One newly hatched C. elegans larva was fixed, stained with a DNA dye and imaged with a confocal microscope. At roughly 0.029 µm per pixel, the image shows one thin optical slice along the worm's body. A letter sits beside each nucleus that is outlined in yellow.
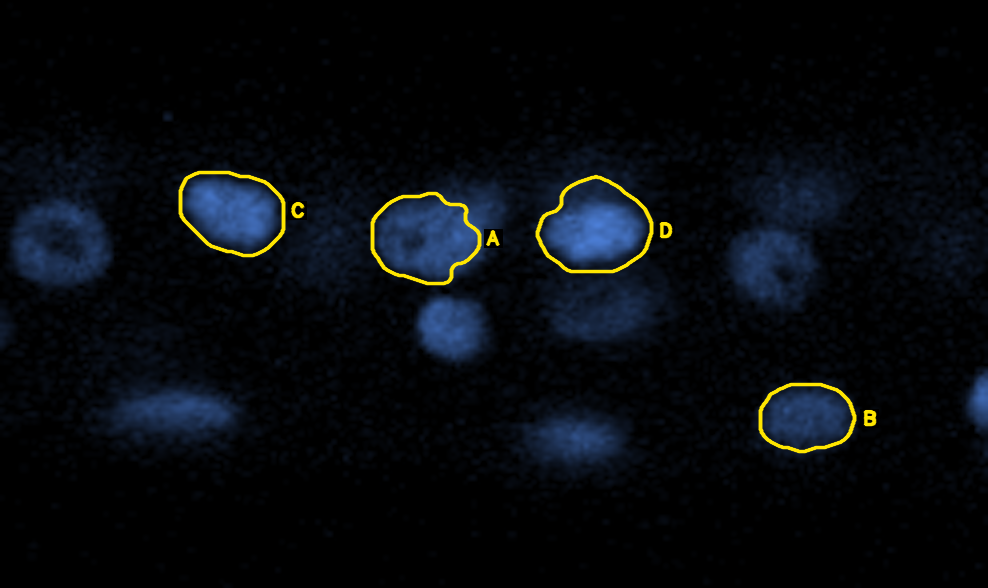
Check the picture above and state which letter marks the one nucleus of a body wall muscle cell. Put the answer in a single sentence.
The nucleus of a body wall muscle cell is B.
